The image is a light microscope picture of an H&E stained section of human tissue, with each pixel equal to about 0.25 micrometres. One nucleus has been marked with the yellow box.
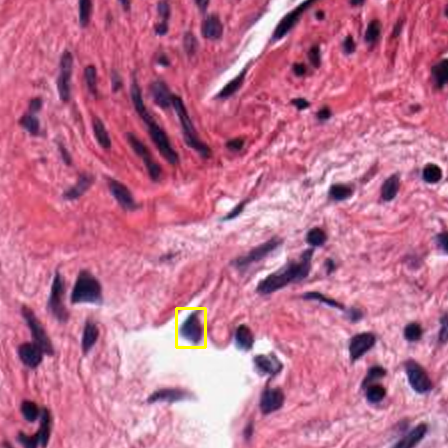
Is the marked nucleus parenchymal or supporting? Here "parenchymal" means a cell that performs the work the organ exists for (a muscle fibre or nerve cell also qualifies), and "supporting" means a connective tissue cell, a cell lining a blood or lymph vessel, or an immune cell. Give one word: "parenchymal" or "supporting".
supporting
